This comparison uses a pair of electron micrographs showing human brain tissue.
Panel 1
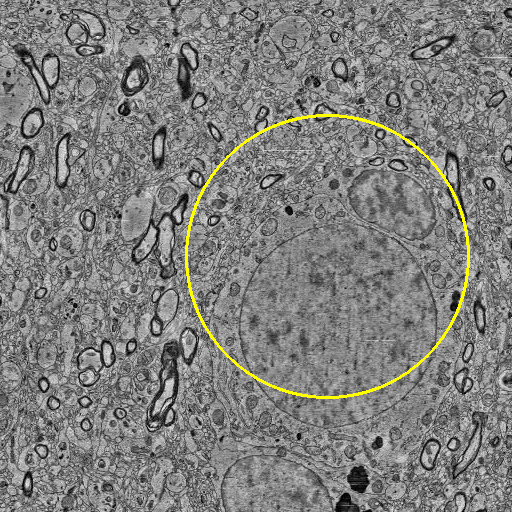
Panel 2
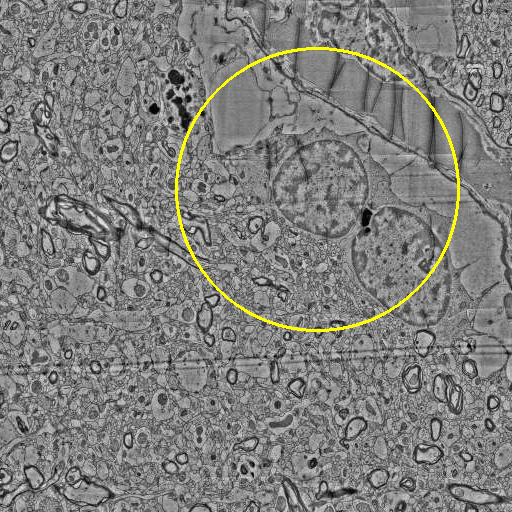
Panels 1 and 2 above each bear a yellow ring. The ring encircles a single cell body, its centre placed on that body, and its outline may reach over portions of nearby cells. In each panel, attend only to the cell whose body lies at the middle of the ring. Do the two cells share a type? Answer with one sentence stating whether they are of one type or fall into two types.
In Panel 1 and Panel 2, the cells at the centres of the rings fall into two types.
